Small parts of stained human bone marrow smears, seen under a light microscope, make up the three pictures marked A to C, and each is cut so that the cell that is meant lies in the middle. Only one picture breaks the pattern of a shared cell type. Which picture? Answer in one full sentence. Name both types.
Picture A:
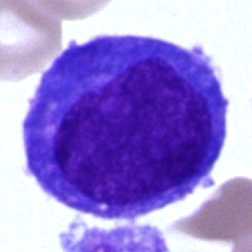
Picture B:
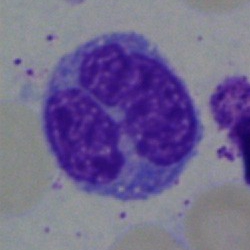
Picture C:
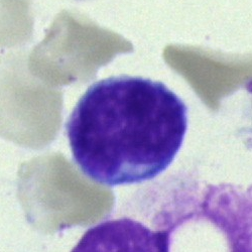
Picture B differs, because its cell is a monocyte and the rest are blasts.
